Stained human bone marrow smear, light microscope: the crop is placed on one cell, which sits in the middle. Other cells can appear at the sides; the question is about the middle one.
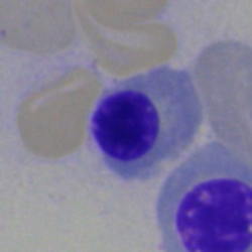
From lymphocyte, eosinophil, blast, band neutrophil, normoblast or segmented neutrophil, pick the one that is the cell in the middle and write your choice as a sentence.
The center cell of this crop is a normoblast.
